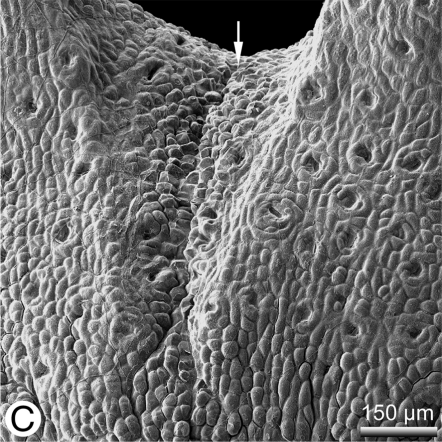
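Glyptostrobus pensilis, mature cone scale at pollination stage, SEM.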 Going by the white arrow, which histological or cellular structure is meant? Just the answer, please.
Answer: Distal fusion zone.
